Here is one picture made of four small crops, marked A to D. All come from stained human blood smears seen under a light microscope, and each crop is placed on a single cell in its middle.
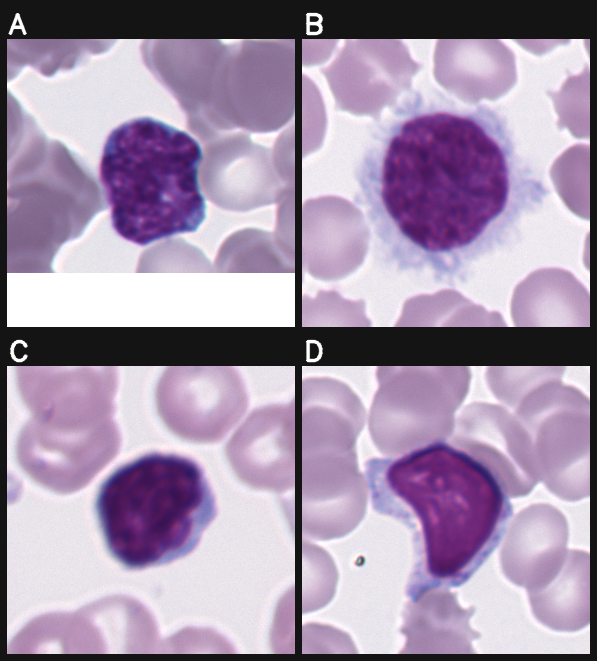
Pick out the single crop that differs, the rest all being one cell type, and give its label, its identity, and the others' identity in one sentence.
All of the other crops show typical lymphocytes, while crop B shows a hairy cell instead.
